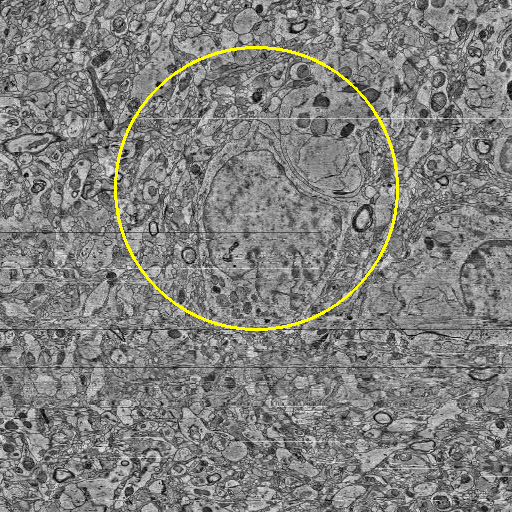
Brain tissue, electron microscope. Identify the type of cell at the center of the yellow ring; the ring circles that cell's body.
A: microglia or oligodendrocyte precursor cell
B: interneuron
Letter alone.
B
